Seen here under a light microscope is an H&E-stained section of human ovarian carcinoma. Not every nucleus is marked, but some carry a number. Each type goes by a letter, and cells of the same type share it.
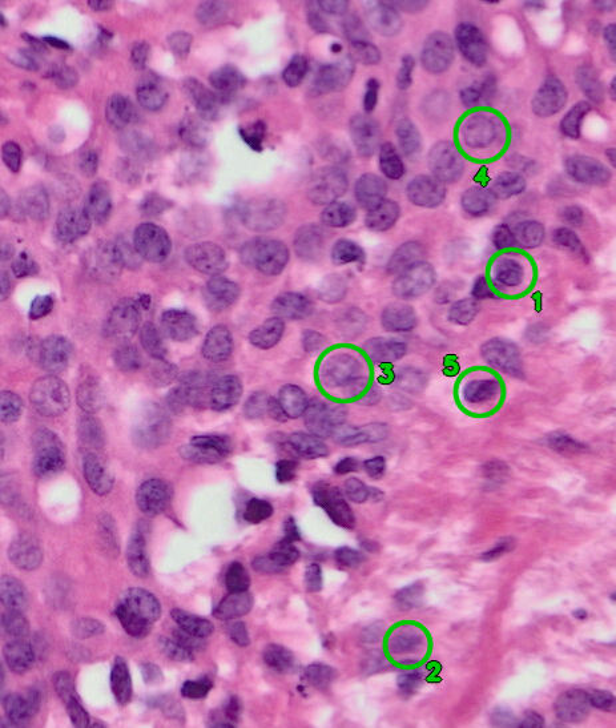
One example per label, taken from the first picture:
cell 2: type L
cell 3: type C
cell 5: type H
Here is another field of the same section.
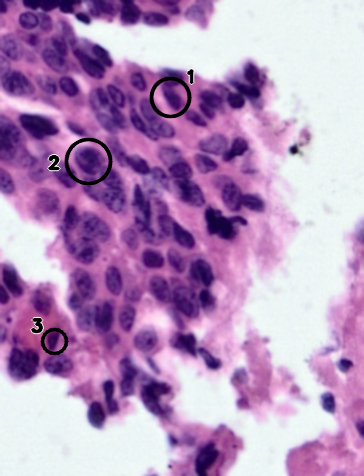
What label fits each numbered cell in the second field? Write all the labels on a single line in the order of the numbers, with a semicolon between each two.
type C; type C; type L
